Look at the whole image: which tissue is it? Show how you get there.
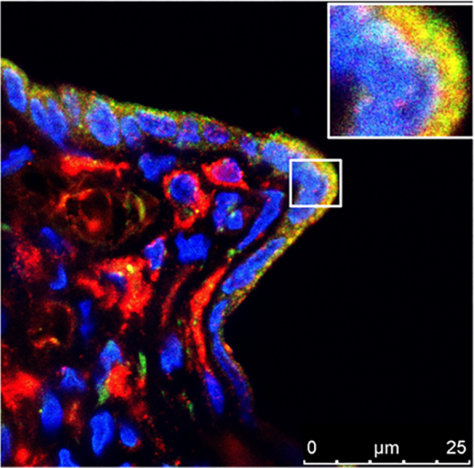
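Placental villi. A finger-like tissue projection ends in a free tip surrounded by empty space. Its surface is covered by a continuous thin layer lined with a row of nuclei. A core of loosely arranged cells with scattered nuclei fills the inside of the projection.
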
